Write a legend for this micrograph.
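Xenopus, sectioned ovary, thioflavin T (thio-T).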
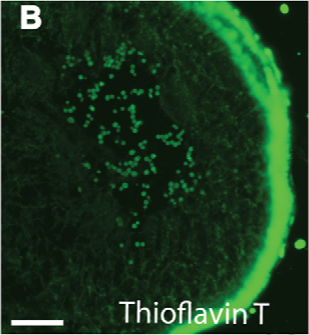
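Small oocyte with a bright green curved rim at its periphery on the right and a dimmer interior. Within the interior numerous small, uniform, round green dots are clustered in the central region, spaced singly and in small groups. The surrounding cytoplasm shows a faint fibrous or meshlike texture without dense bright filling.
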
